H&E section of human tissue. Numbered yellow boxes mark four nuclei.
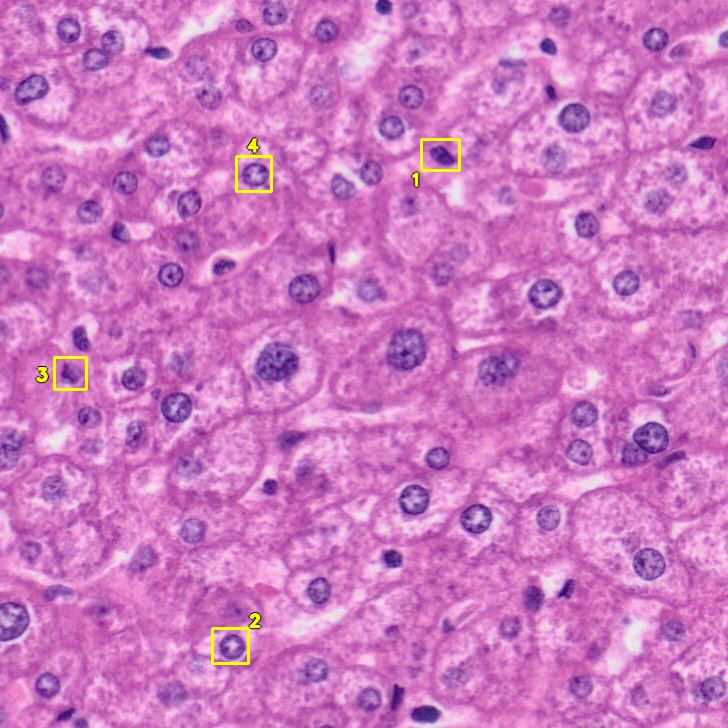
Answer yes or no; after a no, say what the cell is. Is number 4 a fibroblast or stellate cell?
No, it is a hepatocyte.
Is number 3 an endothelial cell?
Yes.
